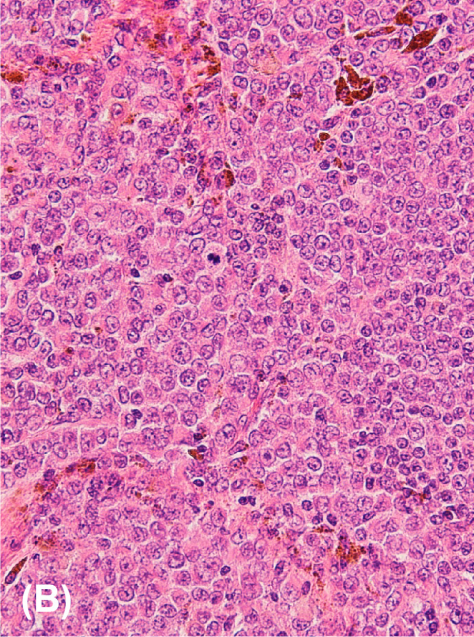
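This field shows a dense proliferation of atypical melanocytes that fill the tissue as solid sheets and nests with hardly any stroma between them. The cells are large and polygonal, with moderate pale pink to lilac cytoplasm and fairly distinct borders. Their nuclei are large, round to oval and vesicular, with open chromatin and prominent nucleoli, and they vary somewhat in size. A dark, condensed nucleus of a dividing cell can be picked out. Clumps of coarse brown-black pigment are scattered irregularly through the sheets. Thin pink fibrous strands and small vessels run between groups of cells.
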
